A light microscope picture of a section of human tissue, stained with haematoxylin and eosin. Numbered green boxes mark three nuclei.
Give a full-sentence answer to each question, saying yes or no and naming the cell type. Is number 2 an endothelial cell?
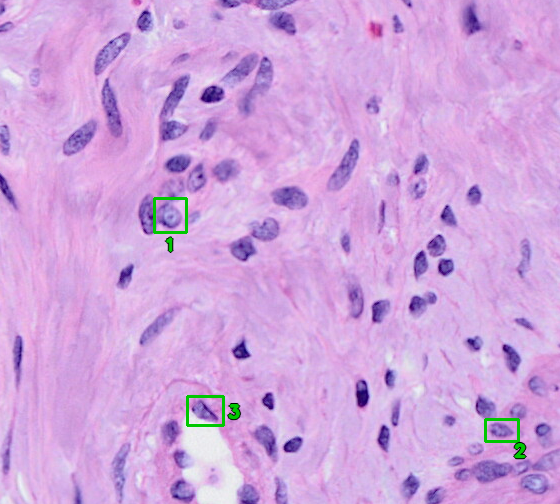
No, cell 2, which is a smooth muscle cell, is not an endothelial cell.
